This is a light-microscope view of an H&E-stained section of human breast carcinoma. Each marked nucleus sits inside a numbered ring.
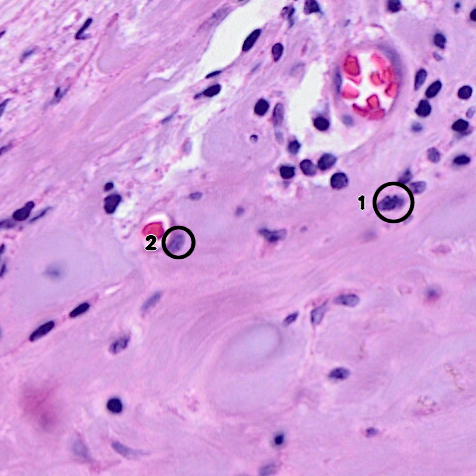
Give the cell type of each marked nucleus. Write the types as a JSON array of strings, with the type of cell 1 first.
["lymphocyte", "endothelial cell"]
